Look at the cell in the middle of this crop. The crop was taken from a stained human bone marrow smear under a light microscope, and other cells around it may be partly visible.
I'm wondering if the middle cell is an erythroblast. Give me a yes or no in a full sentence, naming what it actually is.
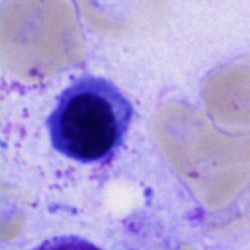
Yes, the central cell here is an erythroblast.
